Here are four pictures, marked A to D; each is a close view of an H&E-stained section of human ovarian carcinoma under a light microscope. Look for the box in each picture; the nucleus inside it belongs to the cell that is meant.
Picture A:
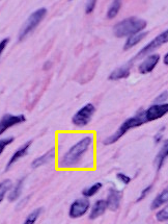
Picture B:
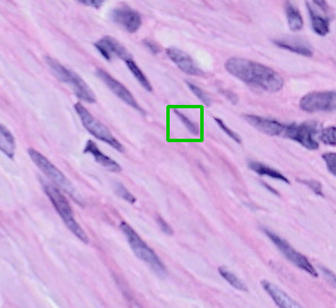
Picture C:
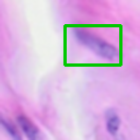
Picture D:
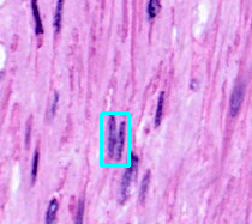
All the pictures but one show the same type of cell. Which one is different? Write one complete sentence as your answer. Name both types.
Picture D differs, because its cell is a fibroblast and the rest are smooth muscle cells.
